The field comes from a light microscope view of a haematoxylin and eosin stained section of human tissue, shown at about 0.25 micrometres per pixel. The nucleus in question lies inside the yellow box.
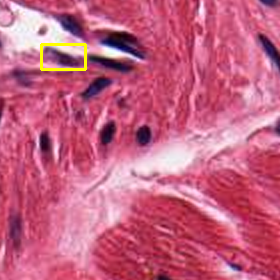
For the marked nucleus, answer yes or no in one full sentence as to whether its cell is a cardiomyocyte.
No, the marked nucleus is attributed to a supporting cell, not to a cardiomyocyte.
